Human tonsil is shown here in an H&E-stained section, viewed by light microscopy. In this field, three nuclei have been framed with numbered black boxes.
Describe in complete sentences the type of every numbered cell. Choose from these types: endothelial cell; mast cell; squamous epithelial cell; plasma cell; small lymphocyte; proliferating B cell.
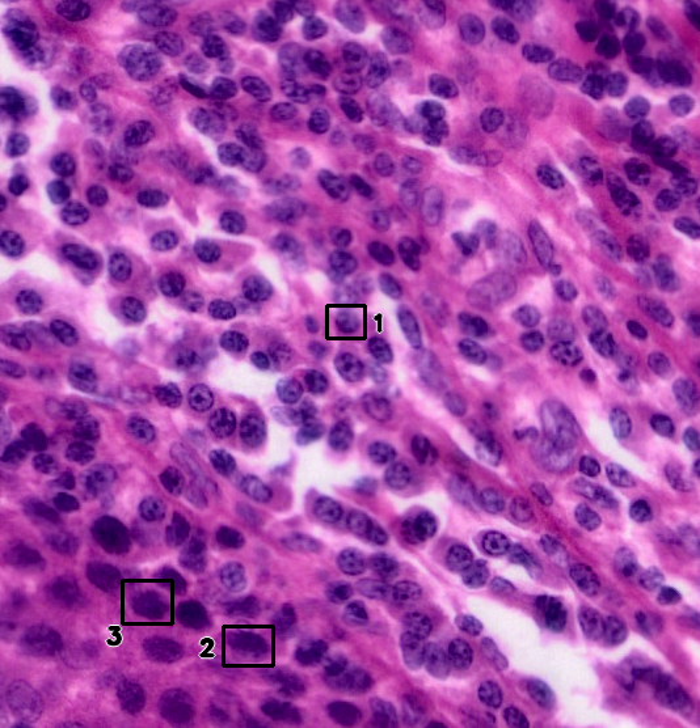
Cell 1 is a plasma cell. Cells 2 and 3 are squamous epithelial cells.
